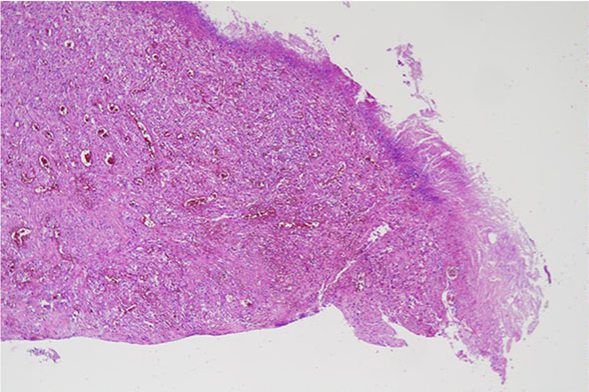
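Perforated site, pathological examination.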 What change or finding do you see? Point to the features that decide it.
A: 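Fibrosis. Paler, loose fibrous tissue lies at the right edge.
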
